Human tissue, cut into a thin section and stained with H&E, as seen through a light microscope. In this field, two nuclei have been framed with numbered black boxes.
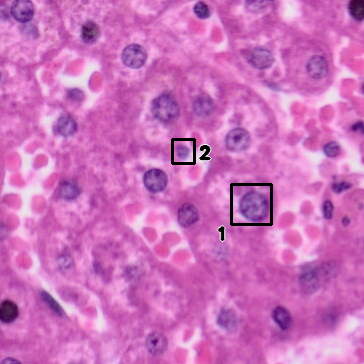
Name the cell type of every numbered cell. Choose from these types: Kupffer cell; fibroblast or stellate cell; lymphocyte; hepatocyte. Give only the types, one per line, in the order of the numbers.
hepatocyte
lymphocyte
